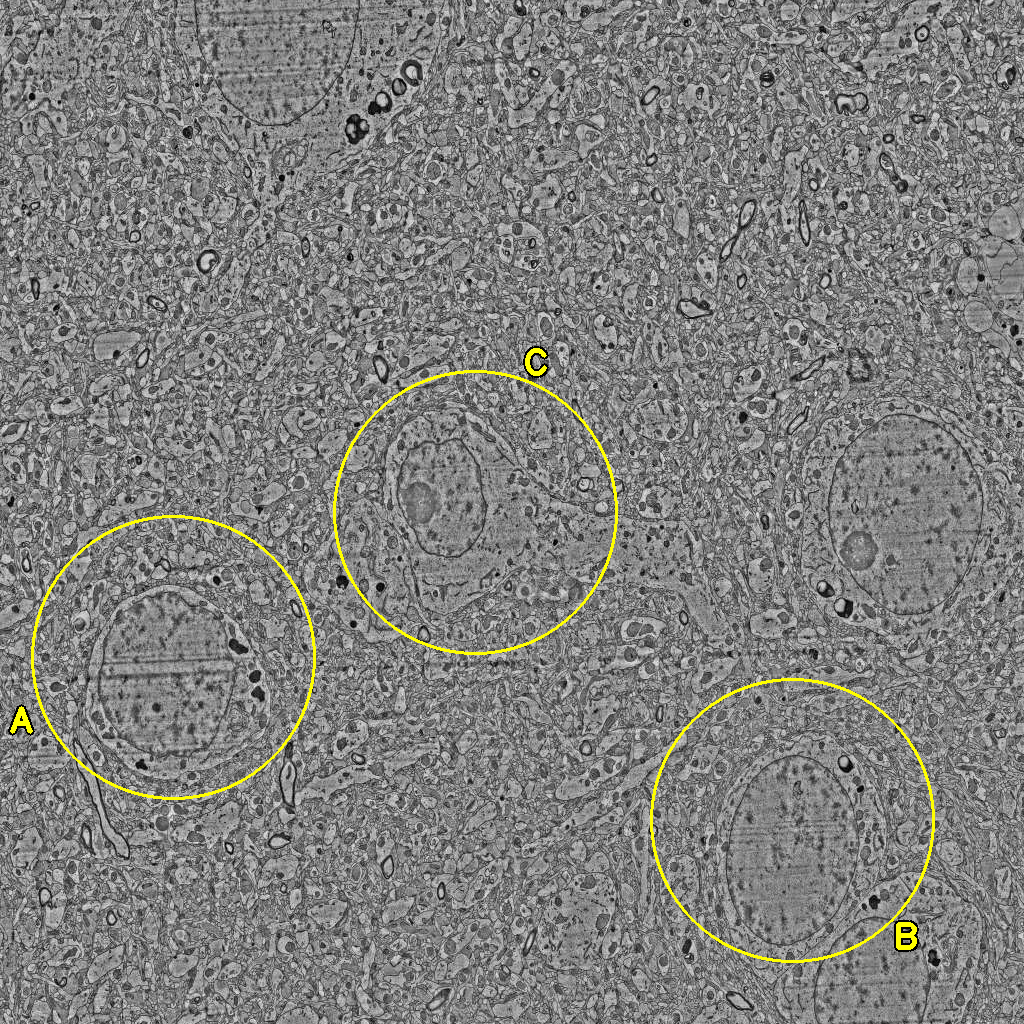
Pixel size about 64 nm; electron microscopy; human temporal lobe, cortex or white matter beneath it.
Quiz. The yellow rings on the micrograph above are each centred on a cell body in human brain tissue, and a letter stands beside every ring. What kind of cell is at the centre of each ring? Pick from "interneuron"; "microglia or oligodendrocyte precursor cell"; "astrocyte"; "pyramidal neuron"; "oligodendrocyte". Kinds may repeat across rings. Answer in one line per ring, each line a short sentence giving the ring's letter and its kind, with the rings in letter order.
The ring labelled A has an interneuron at its centre.
The ring labelled B has a pyramidal neuron at its centre.
The ring labelled C has a pyramidal neuron at its centre.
